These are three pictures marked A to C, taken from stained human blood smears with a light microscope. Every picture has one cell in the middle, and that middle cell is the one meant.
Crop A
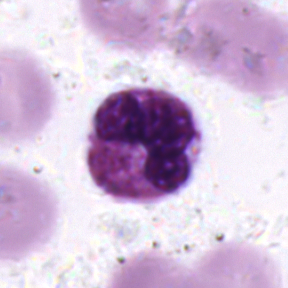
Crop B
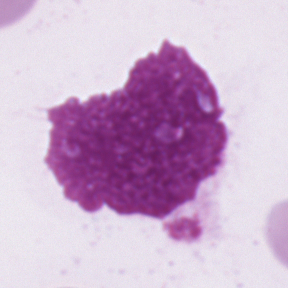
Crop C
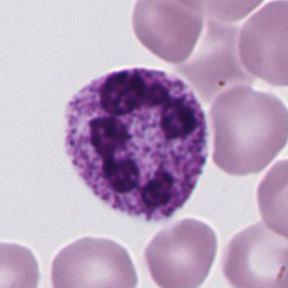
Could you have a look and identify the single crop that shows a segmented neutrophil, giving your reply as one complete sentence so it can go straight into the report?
On review of the set, crop C is the one showing a segmented neutrophil.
